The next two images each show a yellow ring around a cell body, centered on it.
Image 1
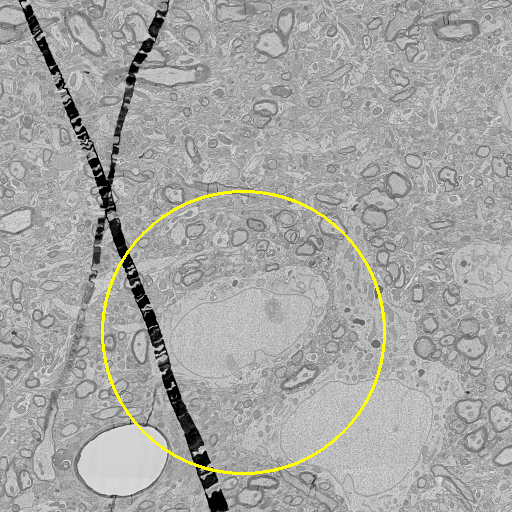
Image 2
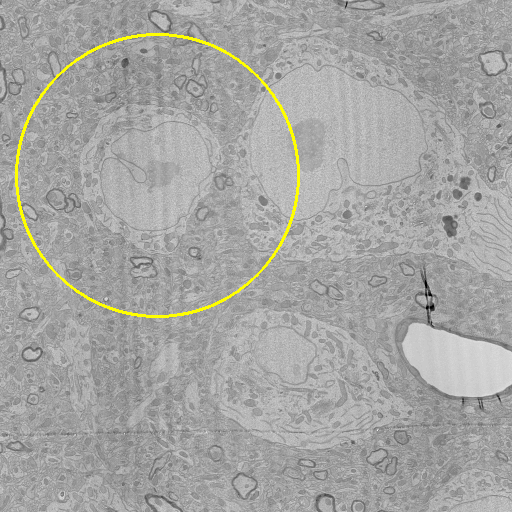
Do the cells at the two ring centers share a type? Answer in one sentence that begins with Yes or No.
Yes, across the two images the cells at the ring centers share one type.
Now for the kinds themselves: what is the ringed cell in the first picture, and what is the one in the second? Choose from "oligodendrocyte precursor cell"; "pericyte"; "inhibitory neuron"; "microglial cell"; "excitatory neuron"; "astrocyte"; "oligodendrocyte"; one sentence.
Each of the ringed cells, first and second, is an excitatory neuron.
